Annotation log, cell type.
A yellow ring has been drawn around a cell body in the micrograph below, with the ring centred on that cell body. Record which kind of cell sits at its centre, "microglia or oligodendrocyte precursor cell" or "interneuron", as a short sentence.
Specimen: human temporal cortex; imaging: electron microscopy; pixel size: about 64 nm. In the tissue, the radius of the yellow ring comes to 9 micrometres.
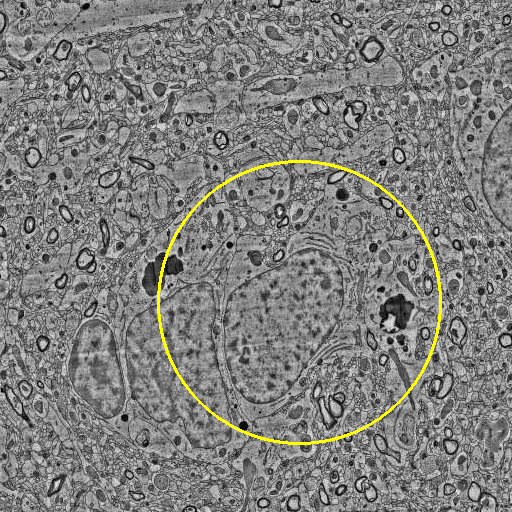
The cell at the centre of this ring is a microglial cell or oligodendrocyte precursor cell.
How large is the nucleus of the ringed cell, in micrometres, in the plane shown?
Roughly 11 micrometres long and 7 micrometres wide; in this plane the nucleus is clearly longer than it is wide.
